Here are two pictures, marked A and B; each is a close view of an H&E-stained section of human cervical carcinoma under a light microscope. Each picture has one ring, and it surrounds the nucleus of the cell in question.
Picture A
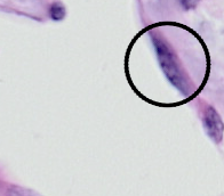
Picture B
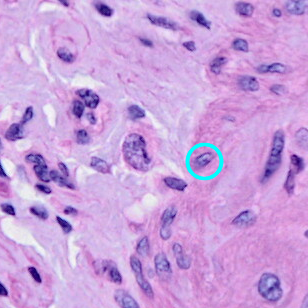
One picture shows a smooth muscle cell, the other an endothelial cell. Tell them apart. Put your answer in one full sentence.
Picture A shows an endothelial cell and picture B shows a smooth muscle cell.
